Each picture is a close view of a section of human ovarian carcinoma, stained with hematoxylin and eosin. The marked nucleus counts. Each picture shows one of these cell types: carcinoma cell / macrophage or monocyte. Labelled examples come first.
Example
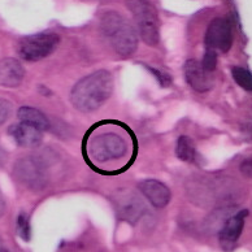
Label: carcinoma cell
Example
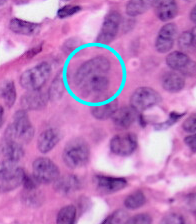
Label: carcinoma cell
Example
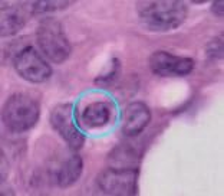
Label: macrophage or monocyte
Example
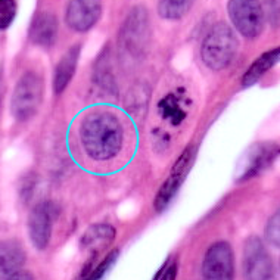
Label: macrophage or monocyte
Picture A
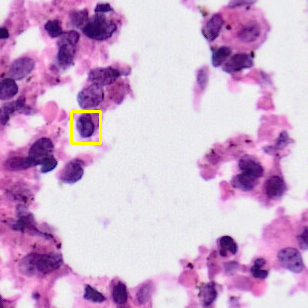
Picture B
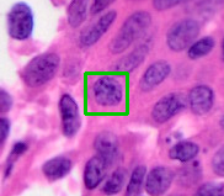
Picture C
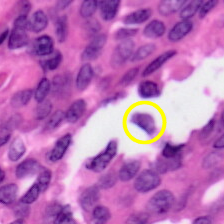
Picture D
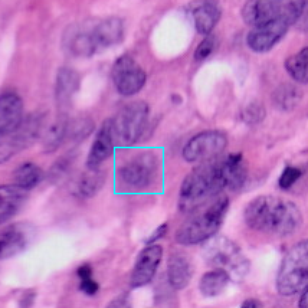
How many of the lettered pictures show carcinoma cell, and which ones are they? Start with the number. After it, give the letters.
2, namely C, D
